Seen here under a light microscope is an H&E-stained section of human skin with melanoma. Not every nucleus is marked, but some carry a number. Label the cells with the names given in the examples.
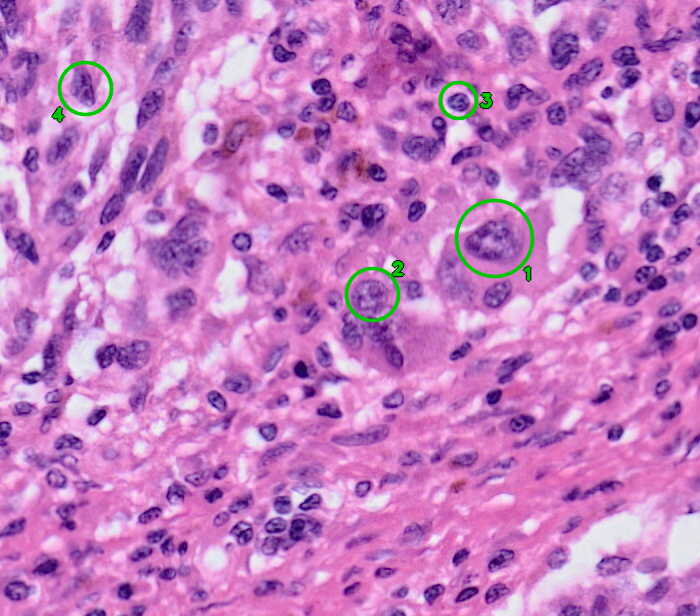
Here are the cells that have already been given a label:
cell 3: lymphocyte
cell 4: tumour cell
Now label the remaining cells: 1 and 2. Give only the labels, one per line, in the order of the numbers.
tumour cell
tumour cell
